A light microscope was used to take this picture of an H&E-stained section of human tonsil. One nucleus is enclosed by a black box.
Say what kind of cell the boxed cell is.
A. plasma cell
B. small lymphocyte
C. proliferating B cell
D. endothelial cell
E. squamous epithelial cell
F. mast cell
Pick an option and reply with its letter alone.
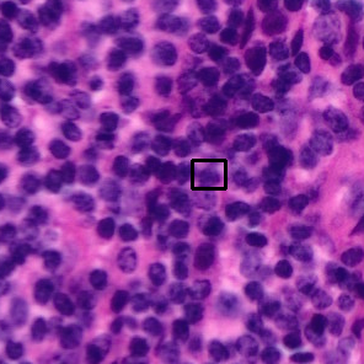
B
